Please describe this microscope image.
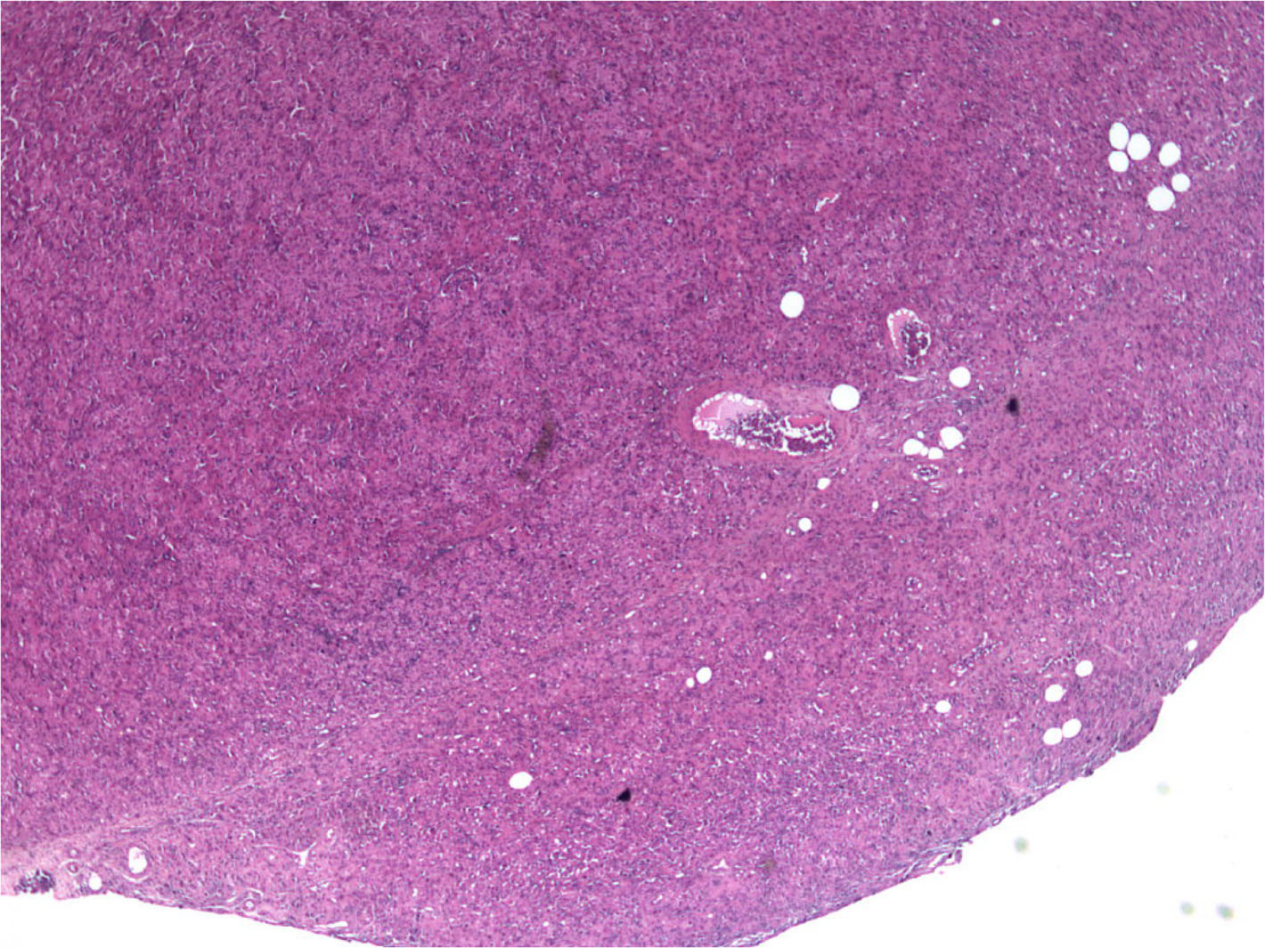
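Low-power view of a solid tumor made of diffuse sheets of pink-staining cells with small, evenly scattered dark nuclei. A blood vessel filled with red cells lies near the centre, and small round clear spaces are scattered through the tissue. The lower right margin of the mass is smooth and rounded.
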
